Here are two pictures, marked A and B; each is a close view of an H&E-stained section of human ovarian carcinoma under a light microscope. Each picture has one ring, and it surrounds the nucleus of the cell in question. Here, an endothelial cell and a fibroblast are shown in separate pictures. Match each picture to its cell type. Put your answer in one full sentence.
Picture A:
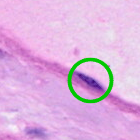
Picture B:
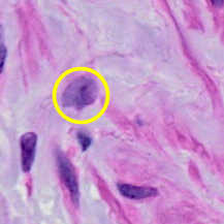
In picture A the cell is an endothelial cell; in picture B, a fibroblast.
